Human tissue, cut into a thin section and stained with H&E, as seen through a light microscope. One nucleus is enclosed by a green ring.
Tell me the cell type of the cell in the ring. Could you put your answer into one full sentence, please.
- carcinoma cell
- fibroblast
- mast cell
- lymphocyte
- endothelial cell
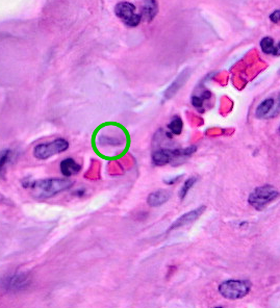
In this field of tissue, the cell in the ring is an endothelial cell.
